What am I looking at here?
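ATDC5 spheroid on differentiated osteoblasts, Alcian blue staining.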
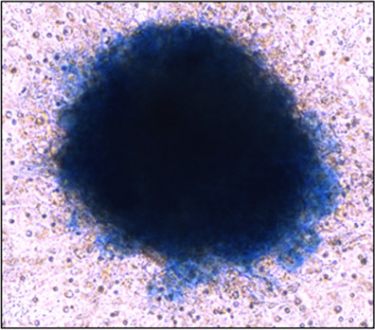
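A dense, roughly round cell mass stains so deeply blue that it looks nearly black at its centre. Its rim is a paler, uneven blue fringe that fades into the surroundings. Around it lies a flat, pale layer of cells, with scattered small round brownish cells on top of it.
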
